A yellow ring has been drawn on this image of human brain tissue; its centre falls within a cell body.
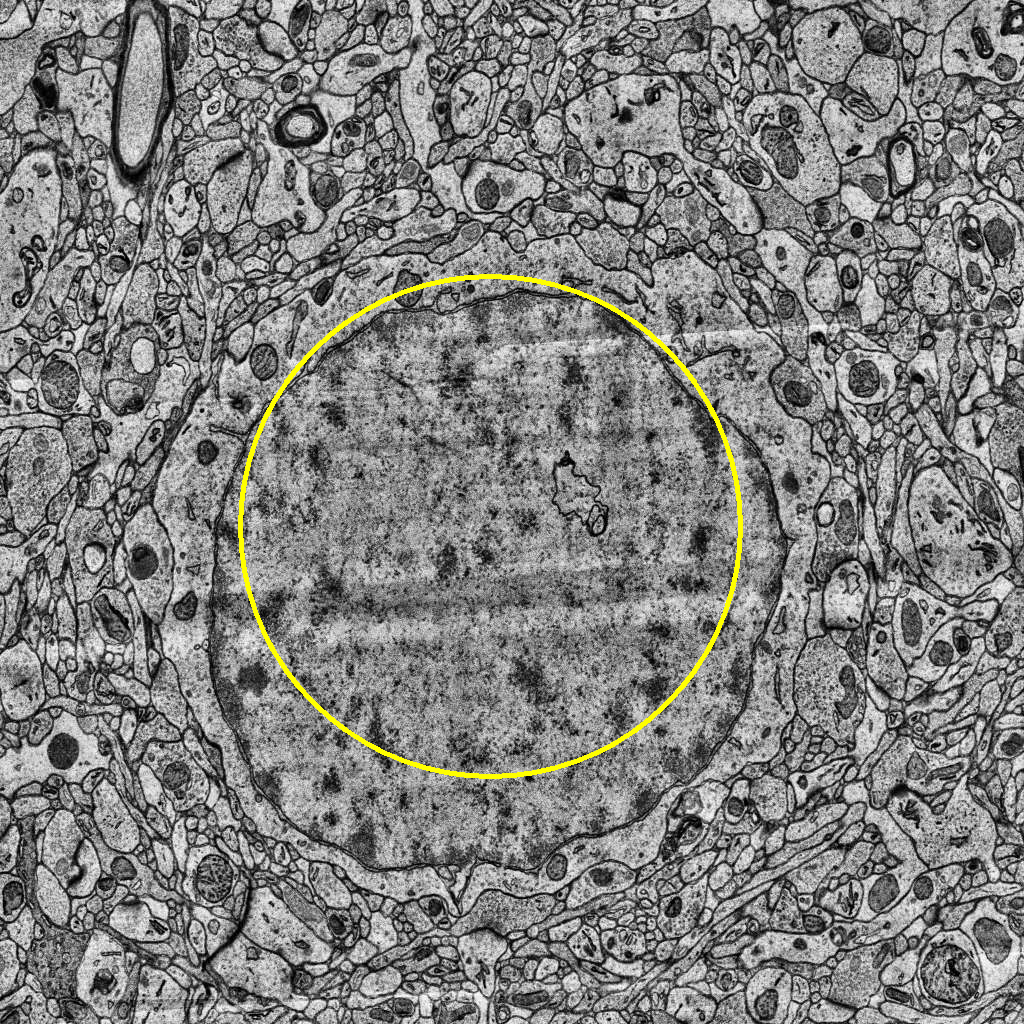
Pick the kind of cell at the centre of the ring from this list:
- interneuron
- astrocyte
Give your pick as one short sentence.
The centre of the ring holds an interneuron.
